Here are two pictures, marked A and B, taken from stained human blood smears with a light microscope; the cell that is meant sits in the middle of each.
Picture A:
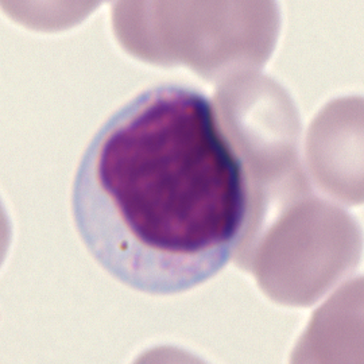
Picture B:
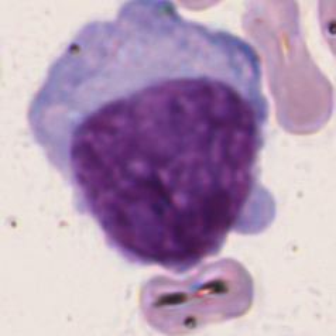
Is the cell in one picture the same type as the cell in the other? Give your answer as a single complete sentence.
No, picture A shows a large granular lymphocyte and picture B shows a plasma cell.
